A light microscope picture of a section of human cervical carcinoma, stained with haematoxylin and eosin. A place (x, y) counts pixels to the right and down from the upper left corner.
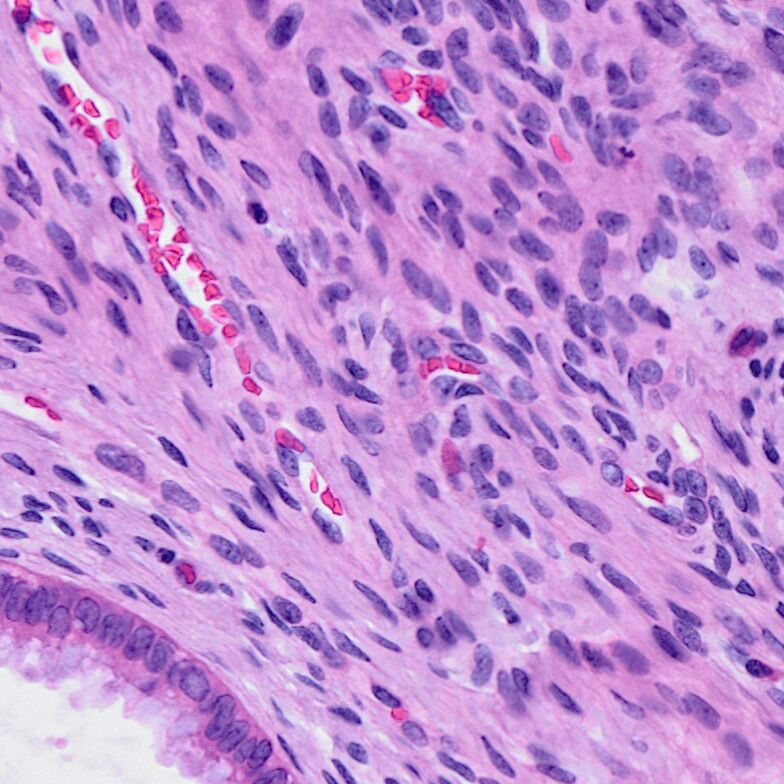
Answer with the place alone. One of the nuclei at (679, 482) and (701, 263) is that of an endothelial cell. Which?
(679, 482)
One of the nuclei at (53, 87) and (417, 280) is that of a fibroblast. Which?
(417, 280)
